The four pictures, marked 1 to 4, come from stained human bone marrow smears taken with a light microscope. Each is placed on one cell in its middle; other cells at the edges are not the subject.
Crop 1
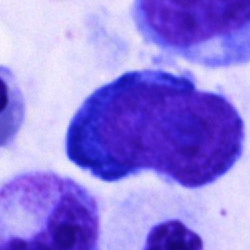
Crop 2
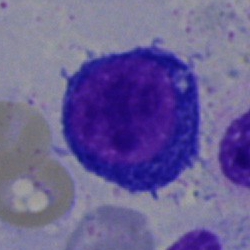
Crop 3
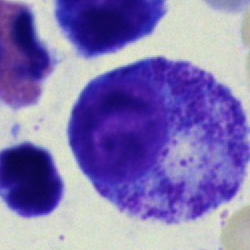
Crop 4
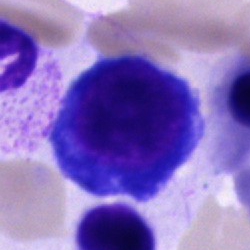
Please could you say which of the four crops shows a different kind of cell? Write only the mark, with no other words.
3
